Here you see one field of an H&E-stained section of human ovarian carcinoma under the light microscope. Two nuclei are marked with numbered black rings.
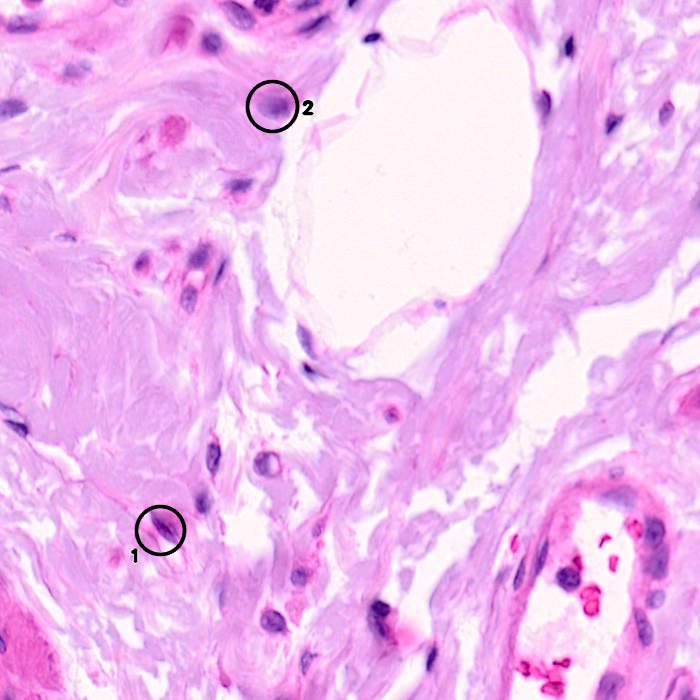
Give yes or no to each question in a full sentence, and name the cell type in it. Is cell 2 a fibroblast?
Yes, the cell with number 2 is a fibroblast.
